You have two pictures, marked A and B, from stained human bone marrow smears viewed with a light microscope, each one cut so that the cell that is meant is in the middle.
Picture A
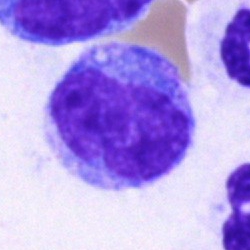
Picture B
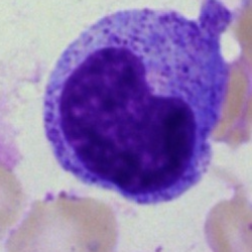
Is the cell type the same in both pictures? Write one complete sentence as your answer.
No; the cell in picture A is a monocyte, while the one in picture B is a promyelocyte.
